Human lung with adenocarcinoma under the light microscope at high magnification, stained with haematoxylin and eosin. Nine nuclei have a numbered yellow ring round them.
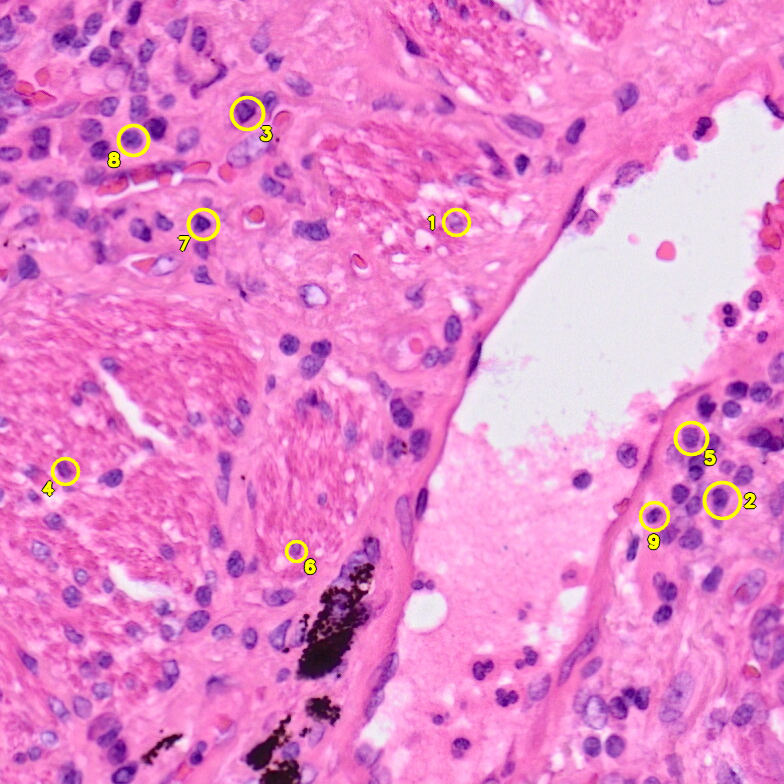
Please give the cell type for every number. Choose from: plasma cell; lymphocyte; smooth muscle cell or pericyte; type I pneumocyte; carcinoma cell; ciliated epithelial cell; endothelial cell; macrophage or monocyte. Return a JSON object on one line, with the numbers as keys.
{"1": "smooth muscle cell or pericyte", "2": "lymphocyte", "3": "plasma cell", "4": "smooth muscle cell or pericyte", "5": "lymphocyte", "6": "smooth muscle cell or pericyte", "7": "lymphocyte", "8": "lymphocyte", "9": "lymphocyte"}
